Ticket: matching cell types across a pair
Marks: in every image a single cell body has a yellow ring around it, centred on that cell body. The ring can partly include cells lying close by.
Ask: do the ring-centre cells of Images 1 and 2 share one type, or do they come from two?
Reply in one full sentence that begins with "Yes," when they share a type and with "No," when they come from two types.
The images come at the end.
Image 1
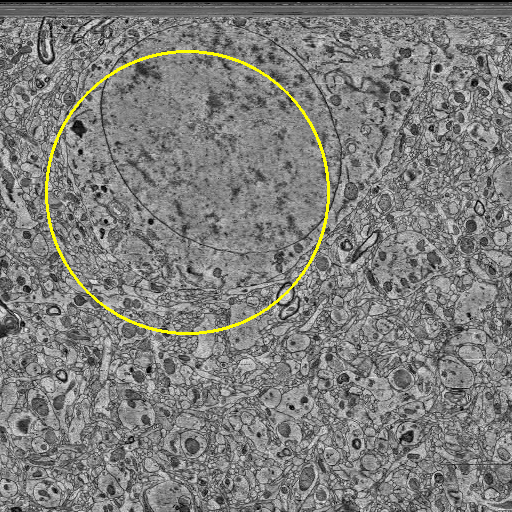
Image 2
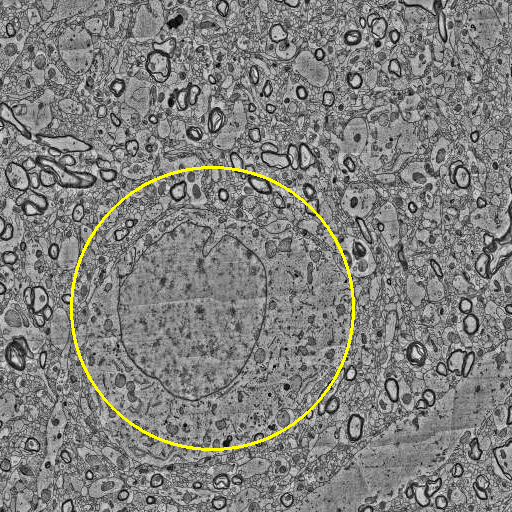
Yes, the cells in the centres of the rings in Image 1 and Image 2 share one type.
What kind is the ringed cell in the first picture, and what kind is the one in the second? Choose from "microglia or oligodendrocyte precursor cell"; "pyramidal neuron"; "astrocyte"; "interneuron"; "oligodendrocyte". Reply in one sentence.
Both pictures show a pyramidal neuron at the centre of the ring.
